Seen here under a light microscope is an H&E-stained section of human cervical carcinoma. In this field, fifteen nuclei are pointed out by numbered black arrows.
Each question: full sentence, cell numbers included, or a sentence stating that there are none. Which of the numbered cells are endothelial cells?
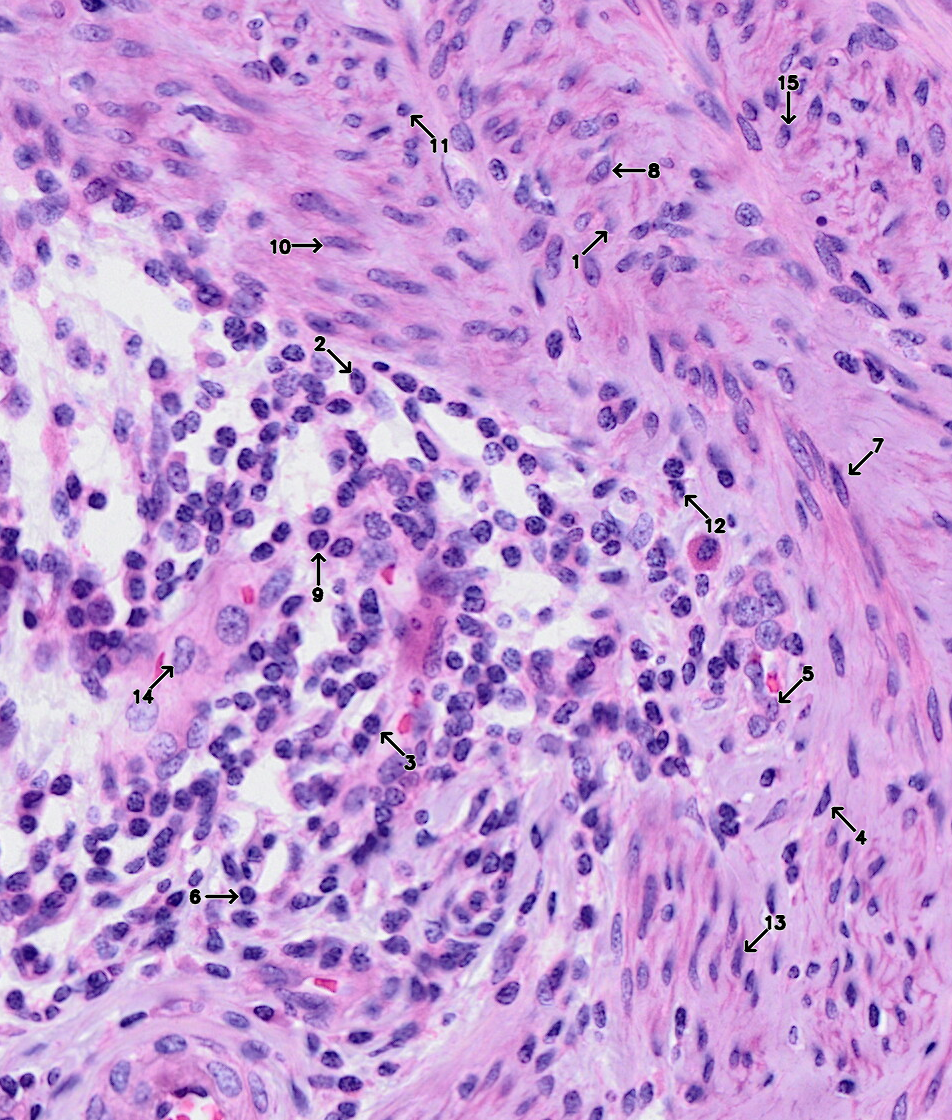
The cells shown with numbers 5 and 14 are endothelial cells.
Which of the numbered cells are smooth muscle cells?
Classified as smooth muscle cells are the cells numbered 1, 7, 8, 10, 11, 13 and 15.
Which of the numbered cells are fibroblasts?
Only number 4 is a fibroblast; none of the others are.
